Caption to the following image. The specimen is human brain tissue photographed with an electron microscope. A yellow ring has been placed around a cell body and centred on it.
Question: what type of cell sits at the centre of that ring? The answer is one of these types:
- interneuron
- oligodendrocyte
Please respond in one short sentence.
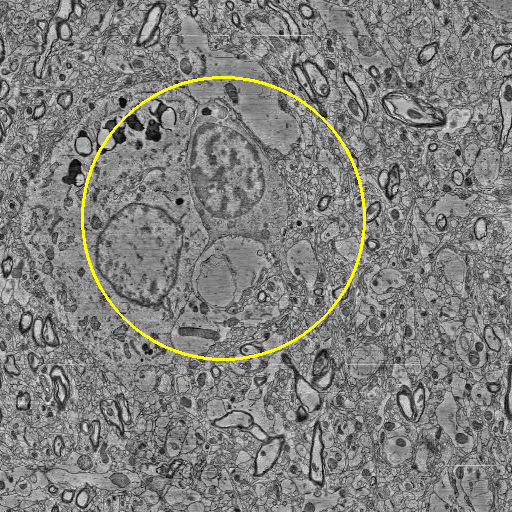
The ring surrounds the cell body of an oligodendrocyte.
